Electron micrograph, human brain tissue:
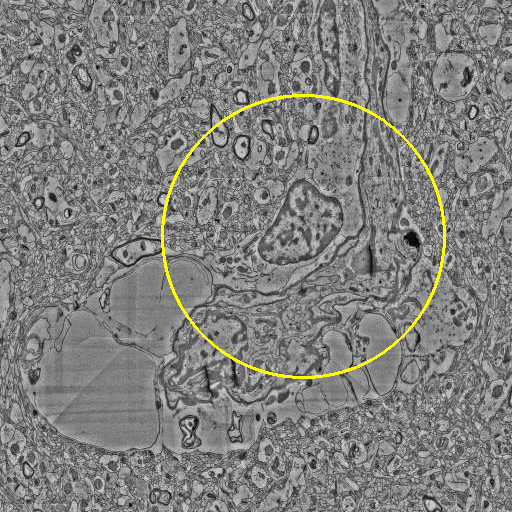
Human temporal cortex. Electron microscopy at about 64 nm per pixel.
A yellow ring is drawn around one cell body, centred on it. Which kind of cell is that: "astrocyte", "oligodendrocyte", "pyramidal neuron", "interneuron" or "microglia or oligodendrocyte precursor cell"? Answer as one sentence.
It is a microglial cell or oligodendrocyte precursor cell at the centre of the ring.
